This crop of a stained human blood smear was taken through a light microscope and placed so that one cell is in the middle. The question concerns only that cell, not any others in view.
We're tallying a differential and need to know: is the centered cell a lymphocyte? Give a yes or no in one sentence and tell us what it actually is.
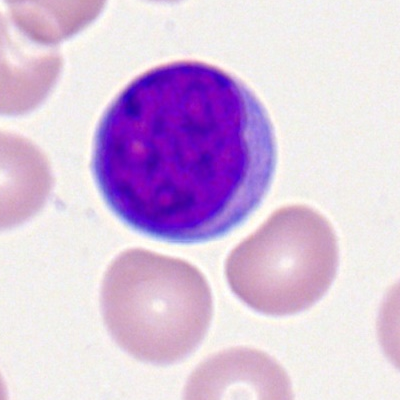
Yes, the cell at the middle is a lymphocyte.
